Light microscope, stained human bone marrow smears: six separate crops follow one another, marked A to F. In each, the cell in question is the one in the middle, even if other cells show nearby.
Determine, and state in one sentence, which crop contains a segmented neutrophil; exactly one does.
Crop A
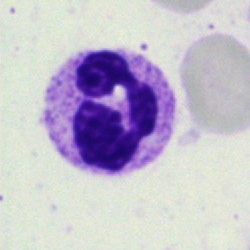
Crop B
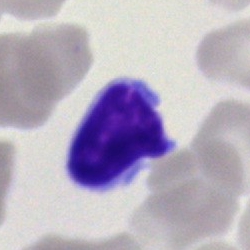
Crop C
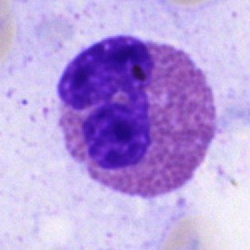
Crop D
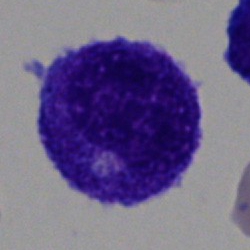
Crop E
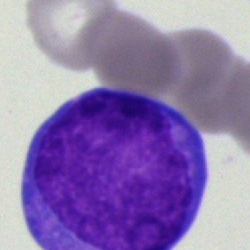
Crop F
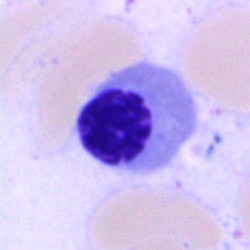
The one crop in the set with a segmented neutrophil is crop A.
